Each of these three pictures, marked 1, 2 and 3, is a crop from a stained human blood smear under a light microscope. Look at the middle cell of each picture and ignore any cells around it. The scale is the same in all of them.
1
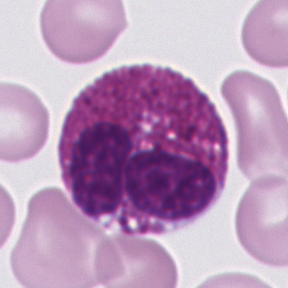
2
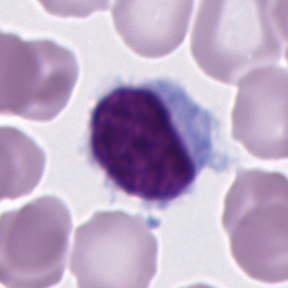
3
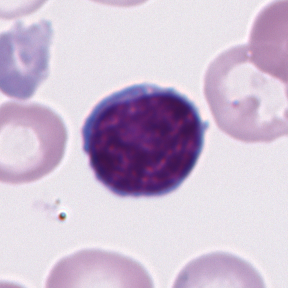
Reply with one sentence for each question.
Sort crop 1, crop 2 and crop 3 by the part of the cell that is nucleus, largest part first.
They run 3, 2, 1, the most filled first.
